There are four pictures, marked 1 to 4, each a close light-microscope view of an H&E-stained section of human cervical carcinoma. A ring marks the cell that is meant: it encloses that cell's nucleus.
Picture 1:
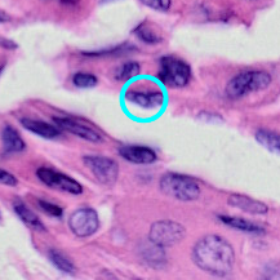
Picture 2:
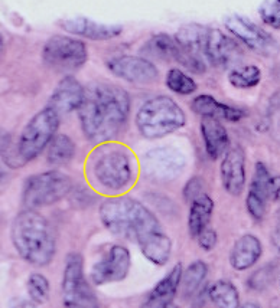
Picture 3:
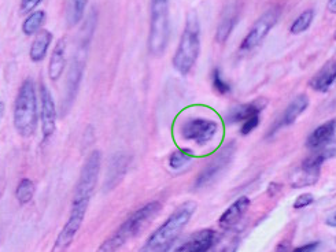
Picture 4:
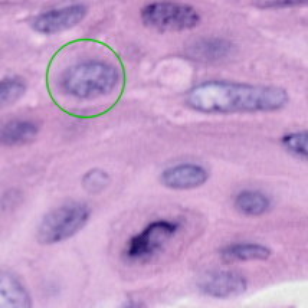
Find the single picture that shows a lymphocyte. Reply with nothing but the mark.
3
